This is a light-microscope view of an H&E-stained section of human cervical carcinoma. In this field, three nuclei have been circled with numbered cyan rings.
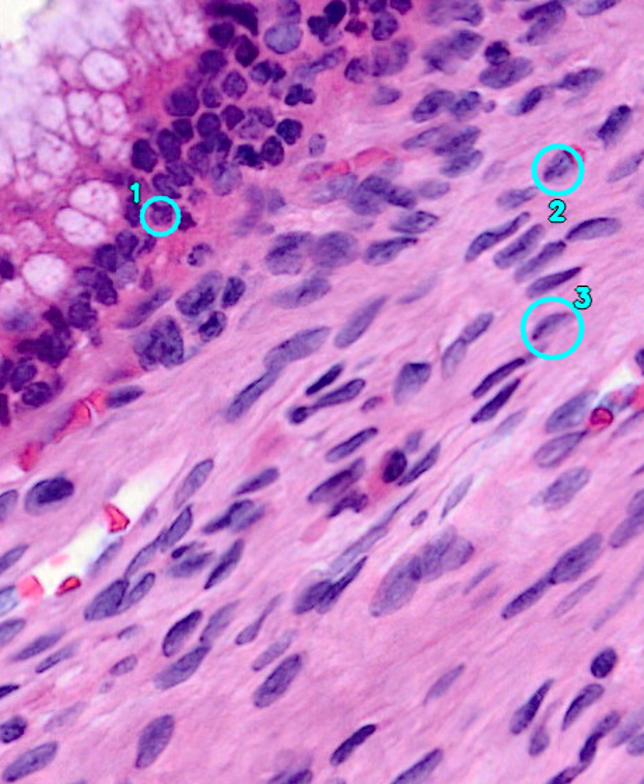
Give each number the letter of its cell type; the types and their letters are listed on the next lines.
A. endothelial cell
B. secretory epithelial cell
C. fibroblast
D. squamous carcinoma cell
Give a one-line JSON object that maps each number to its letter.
{"1": "B", "2": "A", "3": "C"}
